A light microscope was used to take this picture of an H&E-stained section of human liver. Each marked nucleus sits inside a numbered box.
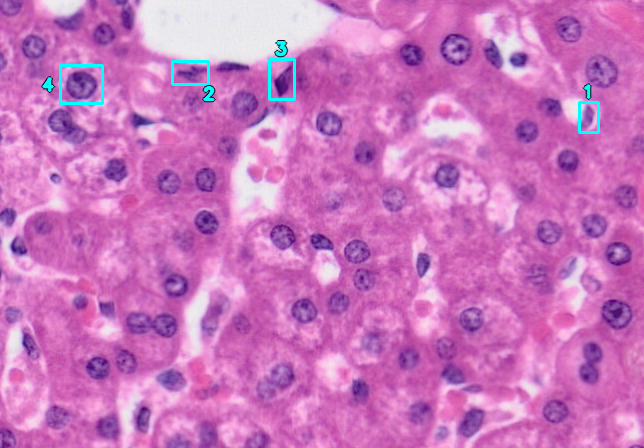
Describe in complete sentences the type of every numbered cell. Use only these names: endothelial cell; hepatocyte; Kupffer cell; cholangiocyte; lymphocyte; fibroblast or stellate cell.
Cell 1 is an endothelial cell, cell 2 is a fibroblast or stellate cell, cell 3 is a fibroblast or stellate cell and cell 4 is a hepatocyte.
